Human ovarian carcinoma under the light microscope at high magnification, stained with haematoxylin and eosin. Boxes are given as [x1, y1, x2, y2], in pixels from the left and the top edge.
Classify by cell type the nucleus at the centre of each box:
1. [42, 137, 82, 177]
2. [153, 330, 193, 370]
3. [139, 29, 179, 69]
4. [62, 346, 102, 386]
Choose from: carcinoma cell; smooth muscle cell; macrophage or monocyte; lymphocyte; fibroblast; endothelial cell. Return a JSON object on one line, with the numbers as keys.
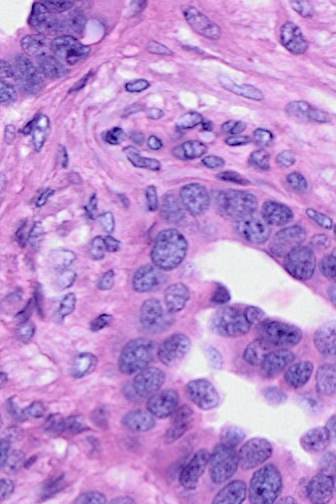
{"1": "fibroblast", "2": "carcinoma cell", "3": "fibroblast", "4": "fibroblast"}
